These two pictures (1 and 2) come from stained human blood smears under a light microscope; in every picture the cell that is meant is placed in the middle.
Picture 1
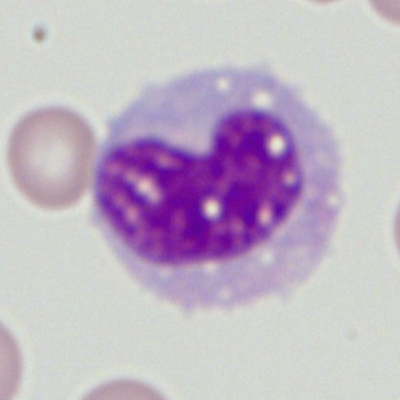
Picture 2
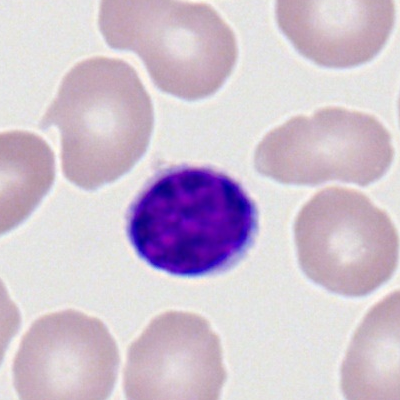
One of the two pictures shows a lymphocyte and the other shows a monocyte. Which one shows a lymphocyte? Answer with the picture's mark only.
2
